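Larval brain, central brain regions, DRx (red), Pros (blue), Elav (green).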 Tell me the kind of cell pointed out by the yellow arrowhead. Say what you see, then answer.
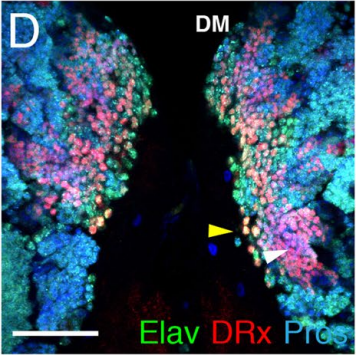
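Neurons. The yellow arrowhead points to a small round cell at the medial edge of the right cluster. That cell shows green together with red.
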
